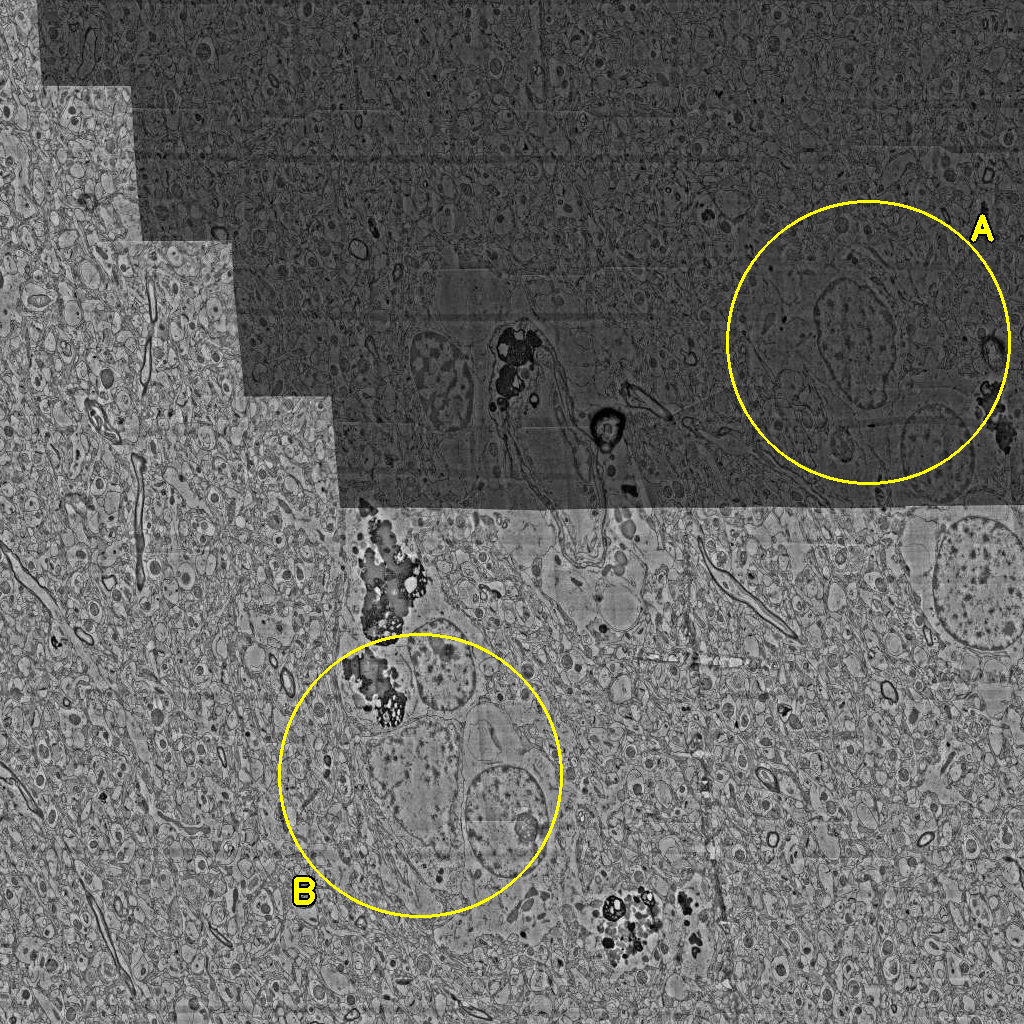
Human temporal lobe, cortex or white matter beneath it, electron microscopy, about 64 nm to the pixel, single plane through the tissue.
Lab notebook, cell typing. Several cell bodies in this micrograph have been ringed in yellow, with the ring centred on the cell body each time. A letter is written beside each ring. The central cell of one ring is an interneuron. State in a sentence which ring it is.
It is ring B.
